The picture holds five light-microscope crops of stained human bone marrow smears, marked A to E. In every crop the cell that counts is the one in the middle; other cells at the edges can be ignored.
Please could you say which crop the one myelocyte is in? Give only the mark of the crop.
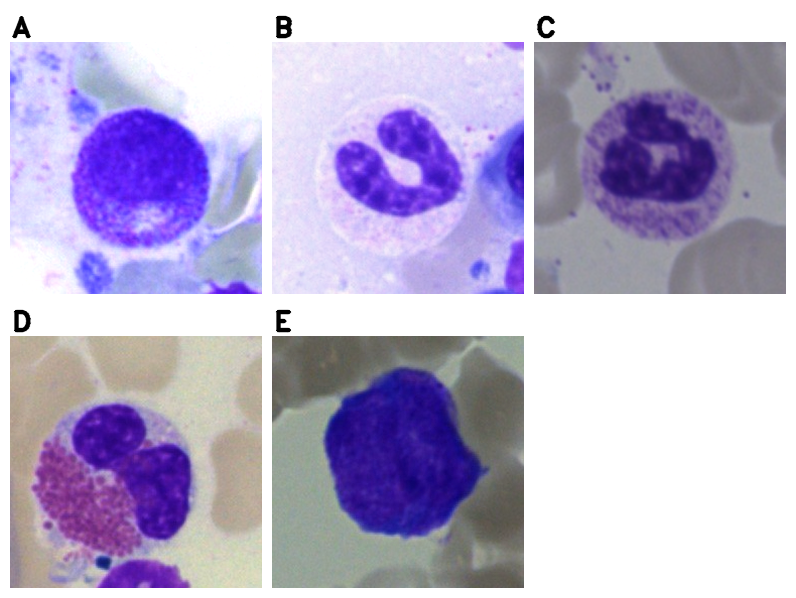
A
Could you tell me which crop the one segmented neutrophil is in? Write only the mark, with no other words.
C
